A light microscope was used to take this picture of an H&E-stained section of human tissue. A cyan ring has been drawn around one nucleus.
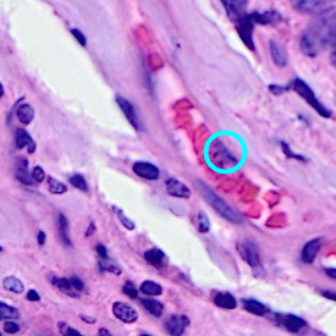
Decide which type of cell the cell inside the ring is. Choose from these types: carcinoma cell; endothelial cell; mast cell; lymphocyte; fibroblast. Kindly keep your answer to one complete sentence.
As far as its identity is concerned, the cell inside the ring is an endothelial cell.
